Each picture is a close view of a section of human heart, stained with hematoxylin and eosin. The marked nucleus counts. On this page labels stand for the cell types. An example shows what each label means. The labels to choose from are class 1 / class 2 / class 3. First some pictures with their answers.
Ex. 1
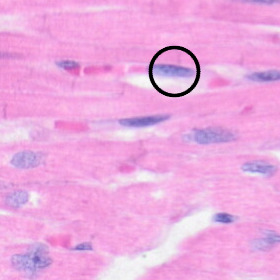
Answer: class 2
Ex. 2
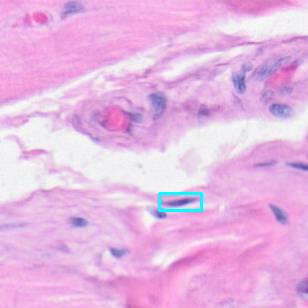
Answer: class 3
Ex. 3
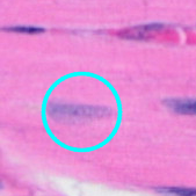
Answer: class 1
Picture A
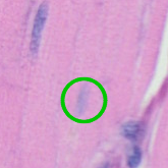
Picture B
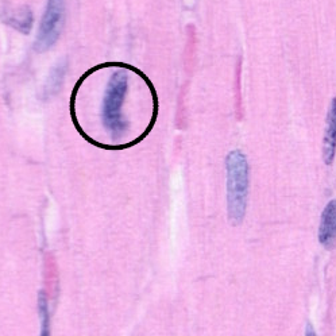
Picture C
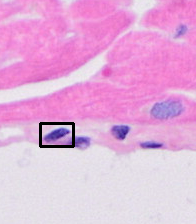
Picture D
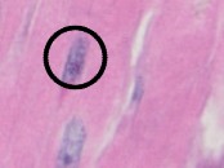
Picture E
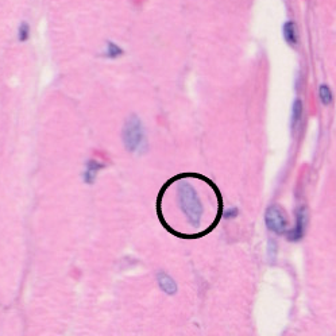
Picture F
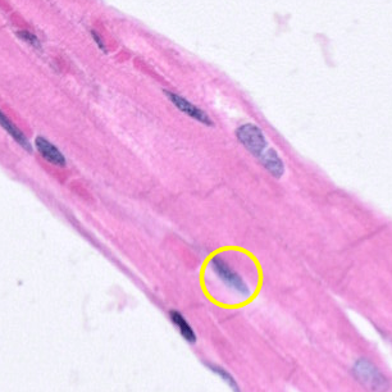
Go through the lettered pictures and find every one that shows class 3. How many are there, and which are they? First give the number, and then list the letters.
2: C, F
